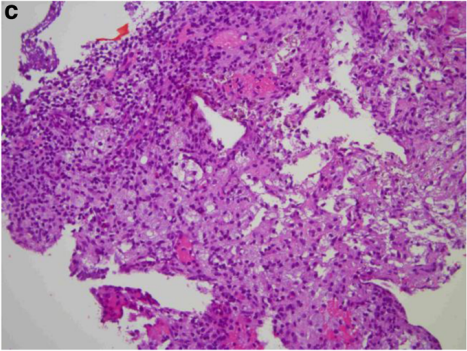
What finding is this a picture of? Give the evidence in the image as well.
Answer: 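Xanthogranulomatous inflammation. Sheets of cells with abundant pale, finely vacuolated pink cytoplasm. Many small dark round nuclei of inflammatory cells are scattered among them. Small areas of extravasated red blood cells lie in the tissue.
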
